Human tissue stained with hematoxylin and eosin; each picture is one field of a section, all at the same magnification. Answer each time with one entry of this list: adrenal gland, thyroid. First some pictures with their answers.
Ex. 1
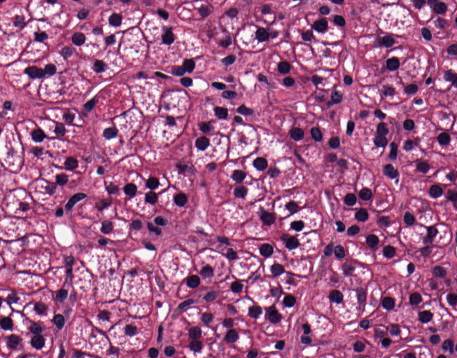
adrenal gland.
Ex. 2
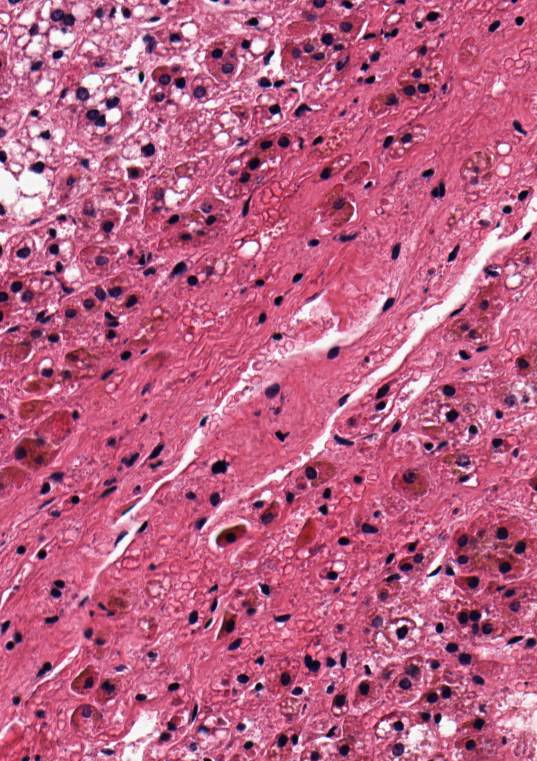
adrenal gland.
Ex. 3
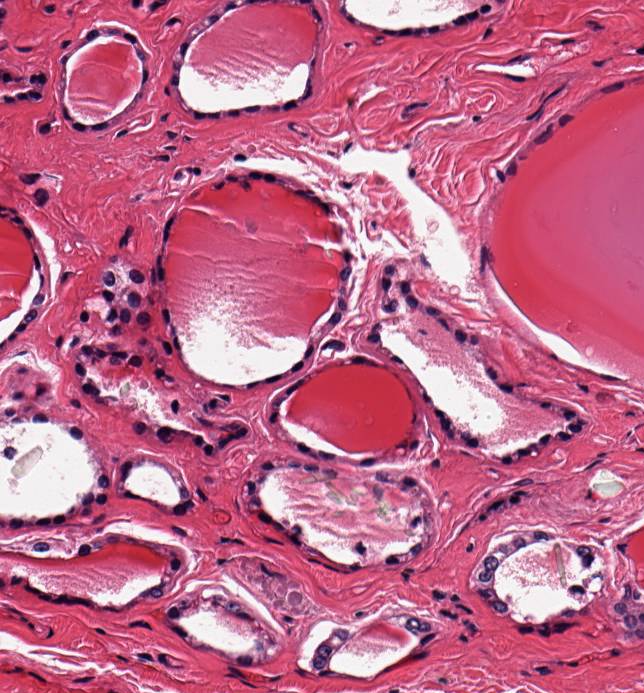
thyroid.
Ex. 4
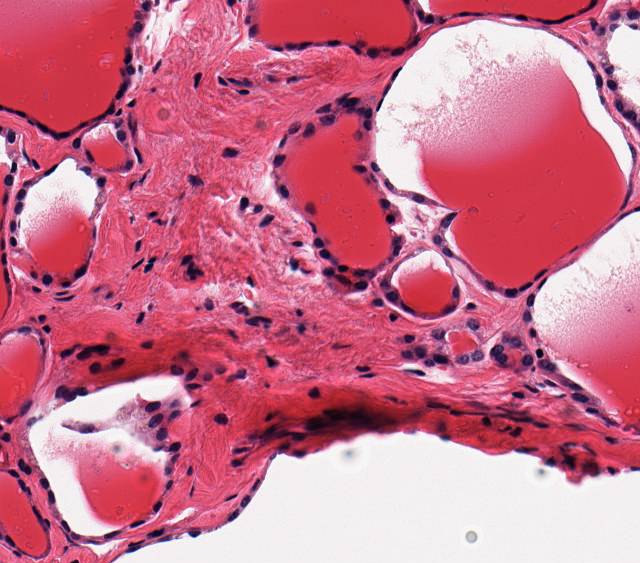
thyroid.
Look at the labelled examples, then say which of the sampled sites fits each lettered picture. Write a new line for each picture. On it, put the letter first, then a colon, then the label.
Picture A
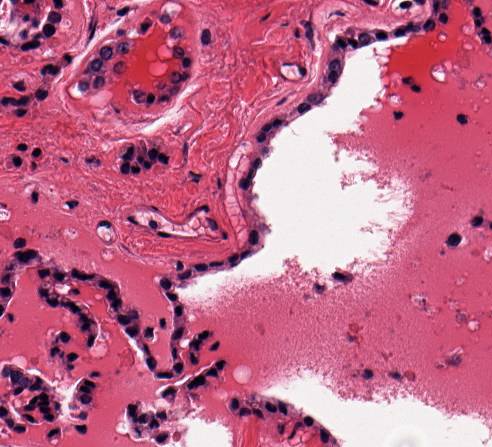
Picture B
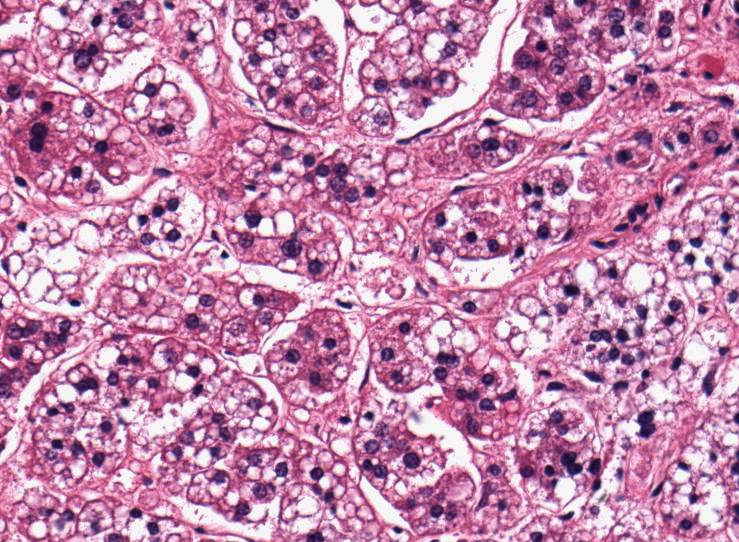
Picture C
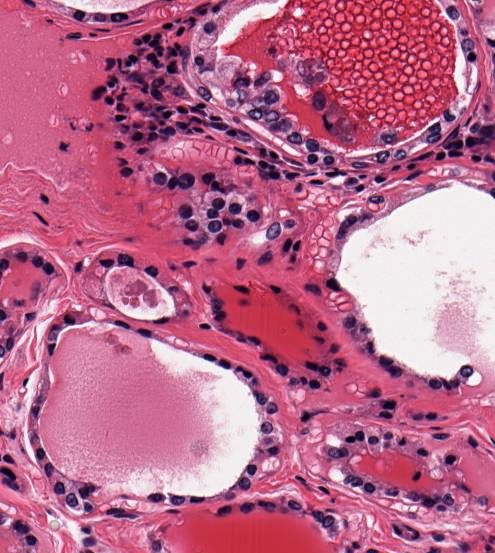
A: thyroid.
B: adrenal gland.
C: thyroid.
